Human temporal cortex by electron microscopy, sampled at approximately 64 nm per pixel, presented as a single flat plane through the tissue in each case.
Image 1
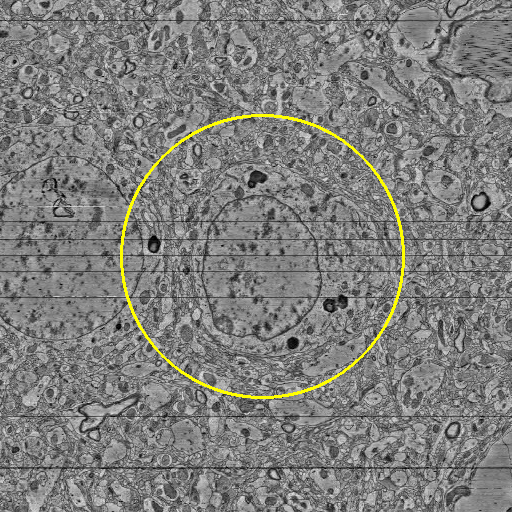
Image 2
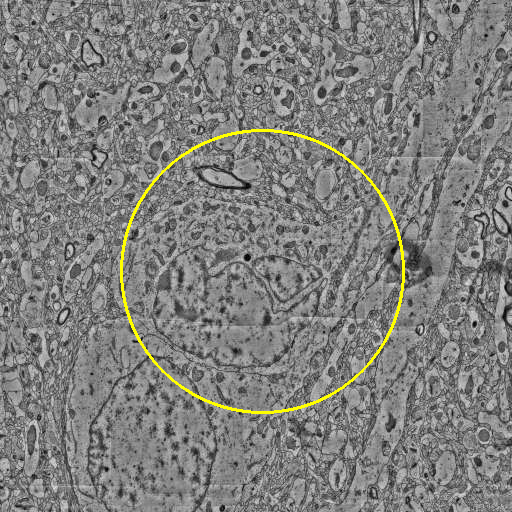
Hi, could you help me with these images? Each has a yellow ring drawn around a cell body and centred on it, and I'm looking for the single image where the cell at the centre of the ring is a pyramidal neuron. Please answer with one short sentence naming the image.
It is Image 1 that has it at the centre of its ring.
